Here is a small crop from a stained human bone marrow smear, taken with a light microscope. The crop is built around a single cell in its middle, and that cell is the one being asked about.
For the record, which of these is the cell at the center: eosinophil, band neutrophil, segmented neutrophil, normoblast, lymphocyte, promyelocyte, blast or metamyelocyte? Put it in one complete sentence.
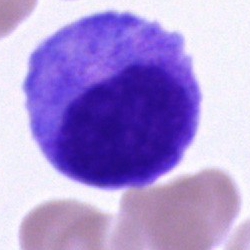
Where the crop is centred, there is a promyelocyte.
